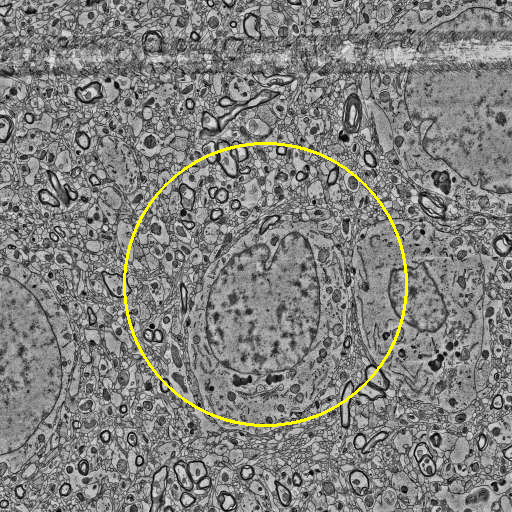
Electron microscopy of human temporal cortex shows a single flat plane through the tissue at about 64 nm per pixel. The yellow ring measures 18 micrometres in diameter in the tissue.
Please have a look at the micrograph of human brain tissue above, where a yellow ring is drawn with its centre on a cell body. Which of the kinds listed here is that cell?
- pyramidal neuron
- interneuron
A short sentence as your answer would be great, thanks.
At the centre of the ring sits an interneuron.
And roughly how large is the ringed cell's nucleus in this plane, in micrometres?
Roughly 10 by 7 micrometres is the size of the nucleus in this plane.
